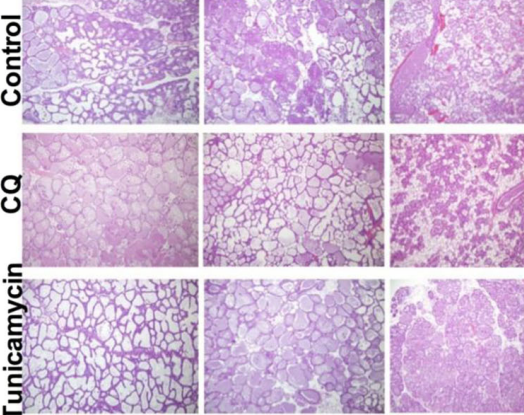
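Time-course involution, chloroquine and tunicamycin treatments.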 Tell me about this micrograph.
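Mammary gland sections stained pink-purple, with glandular alveoli and ducts set among the clear, rounded fat cells of the fat pad. Some frames are taken up largely by densely packed alveolar epithelium, while others are dominated by large empty adipocytes separated by thin septa with only scattered small alveoli between them.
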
